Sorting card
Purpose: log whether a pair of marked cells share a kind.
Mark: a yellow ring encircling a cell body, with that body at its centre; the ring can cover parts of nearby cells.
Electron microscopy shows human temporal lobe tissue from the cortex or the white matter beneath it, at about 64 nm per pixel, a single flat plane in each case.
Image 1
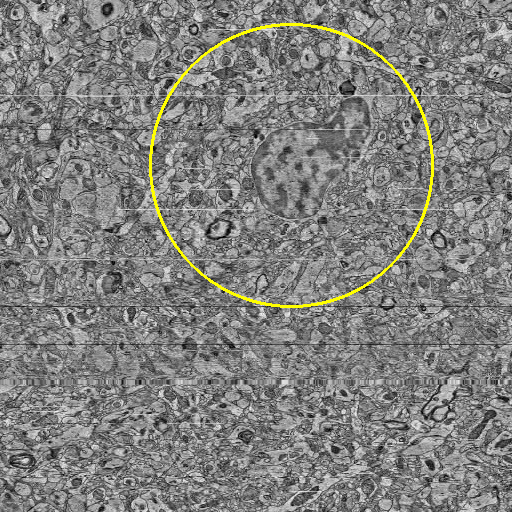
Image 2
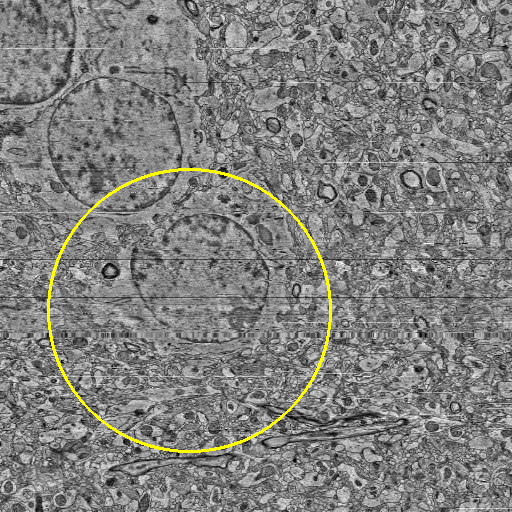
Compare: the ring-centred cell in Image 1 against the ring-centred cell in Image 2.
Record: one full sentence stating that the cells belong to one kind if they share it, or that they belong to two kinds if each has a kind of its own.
Across Images 1 and 2, the two ring-centred cells belong to two kinds.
